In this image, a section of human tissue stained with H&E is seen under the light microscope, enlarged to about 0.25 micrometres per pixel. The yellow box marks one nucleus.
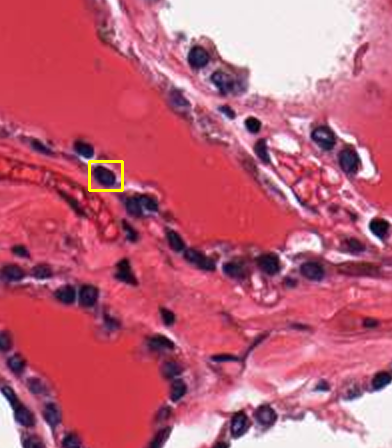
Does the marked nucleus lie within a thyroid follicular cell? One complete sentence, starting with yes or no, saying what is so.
Yes, the cell containing the marked nucleus is a thyroid follicular cell.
